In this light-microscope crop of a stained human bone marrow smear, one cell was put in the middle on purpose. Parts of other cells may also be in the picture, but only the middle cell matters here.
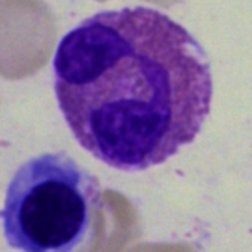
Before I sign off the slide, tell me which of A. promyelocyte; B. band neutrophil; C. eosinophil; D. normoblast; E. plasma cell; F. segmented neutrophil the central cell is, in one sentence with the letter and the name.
In this crop the middle cell is an eosinophil, so option C is the correct answer.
